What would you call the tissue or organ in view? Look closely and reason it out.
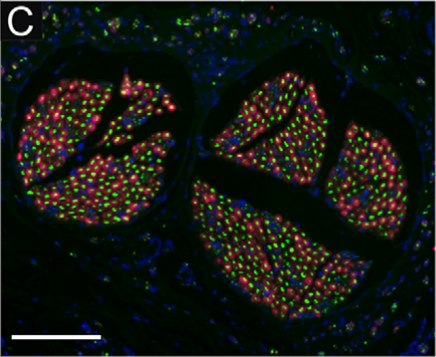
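Nerve fibers. Fascicles are filled with many small round profiles in cross-section. Looser tissue with scattered nuclei lies around the fascicles.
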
